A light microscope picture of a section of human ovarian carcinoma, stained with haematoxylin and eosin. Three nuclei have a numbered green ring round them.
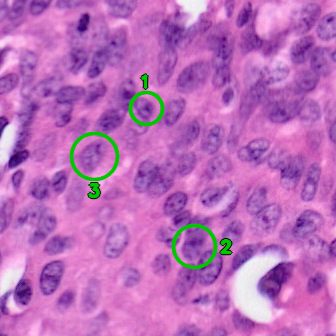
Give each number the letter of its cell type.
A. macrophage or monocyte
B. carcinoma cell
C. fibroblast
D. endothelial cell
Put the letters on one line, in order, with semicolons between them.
A; B; B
